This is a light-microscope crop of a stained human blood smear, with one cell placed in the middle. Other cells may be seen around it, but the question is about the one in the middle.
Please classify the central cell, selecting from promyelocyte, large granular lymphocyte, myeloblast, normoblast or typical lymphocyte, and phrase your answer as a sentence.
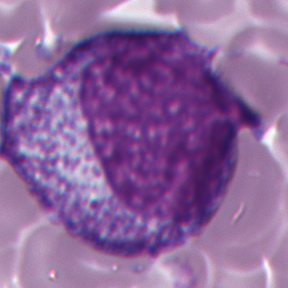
The cell shown in the center of this light-microscope crop is a promyelocyte.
